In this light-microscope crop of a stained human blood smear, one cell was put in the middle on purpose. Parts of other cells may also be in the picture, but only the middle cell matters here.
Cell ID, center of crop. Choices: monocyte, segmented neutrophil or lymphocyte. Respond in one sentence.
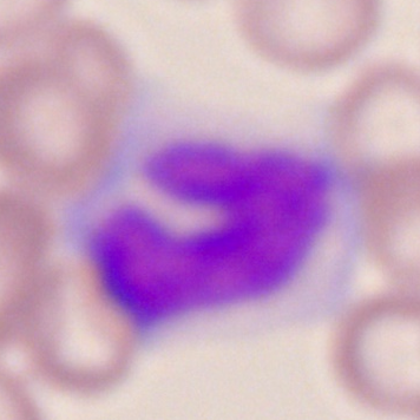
Classification of the middle cell gives a monocyte.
